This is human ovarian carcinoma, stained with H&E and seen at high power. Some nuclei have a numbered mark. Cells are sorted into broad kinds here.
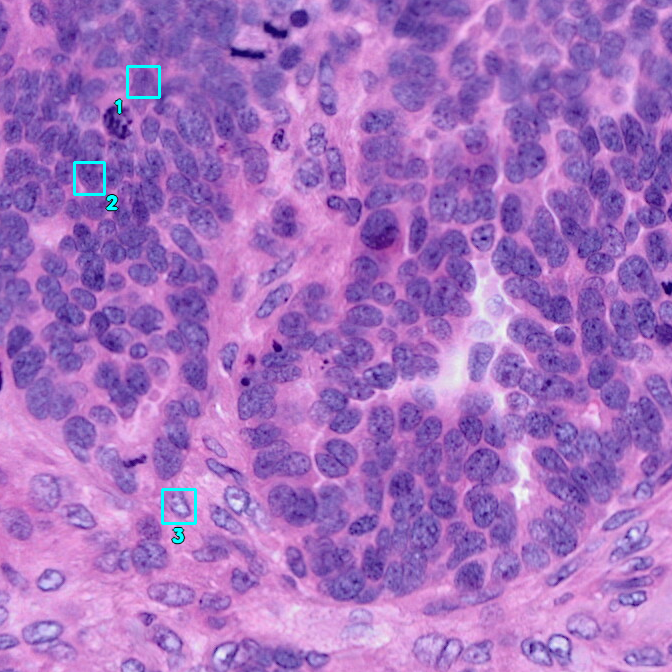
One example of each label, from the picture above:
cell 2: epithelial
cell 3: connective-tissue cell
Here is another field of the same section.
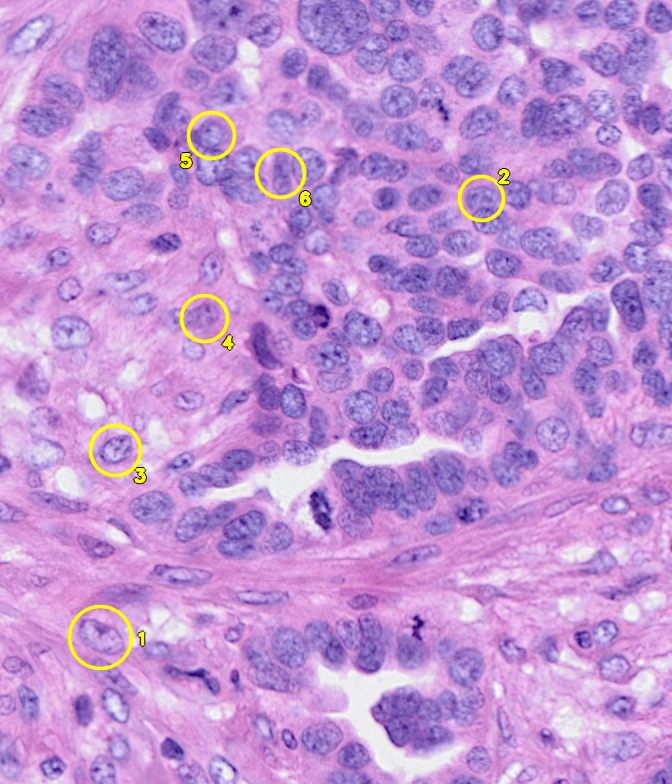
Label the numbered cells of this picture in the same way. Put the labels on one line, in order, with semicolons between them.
connective-tissue cell; epithelial; connective-tissue cell; connective-tissue cell; epithelial; epithelial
